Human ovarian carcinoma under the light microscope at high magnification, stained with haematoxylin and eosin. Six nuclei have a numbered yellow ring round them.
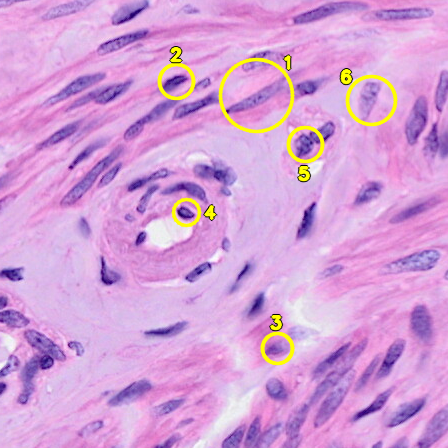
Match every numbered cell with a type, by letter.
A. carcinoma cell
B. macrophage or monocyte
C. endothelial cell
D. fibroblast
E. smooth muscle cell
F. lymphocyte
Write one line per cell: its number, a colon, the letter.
1: E
2: E
3: E
4: C
5: C
6: E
